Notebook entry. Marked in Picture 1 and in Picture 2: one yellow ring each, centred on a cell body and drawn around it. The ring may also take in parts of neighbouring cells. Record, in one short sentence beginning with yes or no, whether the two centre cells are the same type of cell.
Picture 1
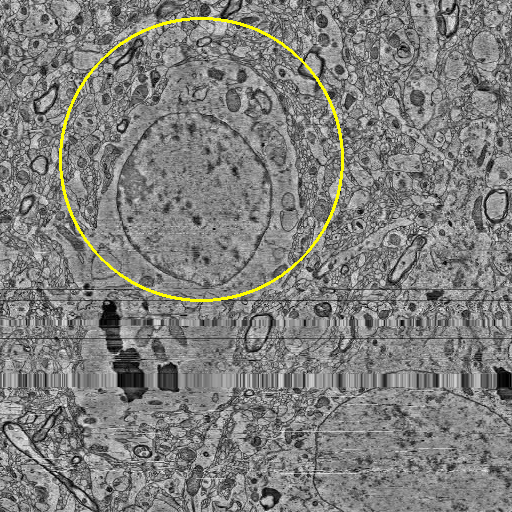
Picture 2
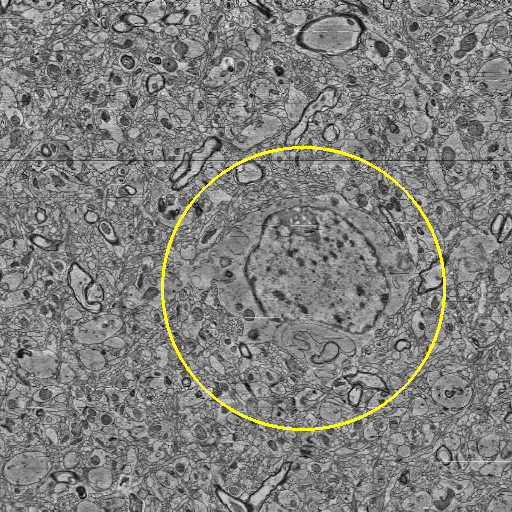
Yes, both are the same type of cell.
